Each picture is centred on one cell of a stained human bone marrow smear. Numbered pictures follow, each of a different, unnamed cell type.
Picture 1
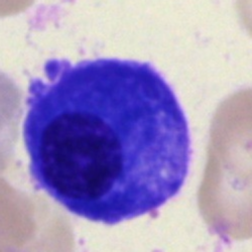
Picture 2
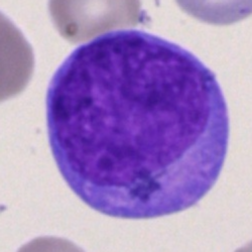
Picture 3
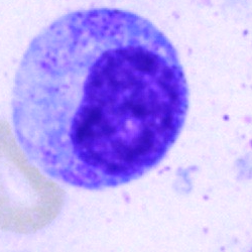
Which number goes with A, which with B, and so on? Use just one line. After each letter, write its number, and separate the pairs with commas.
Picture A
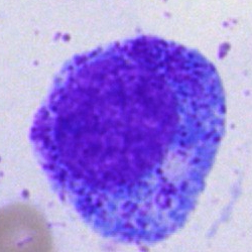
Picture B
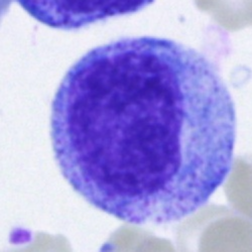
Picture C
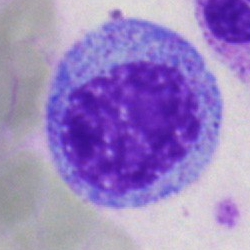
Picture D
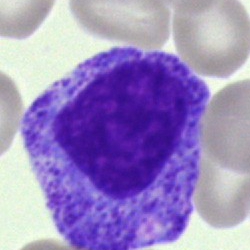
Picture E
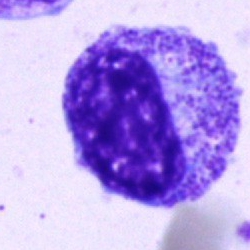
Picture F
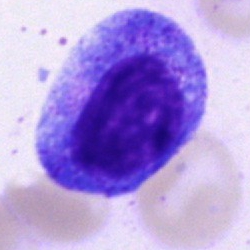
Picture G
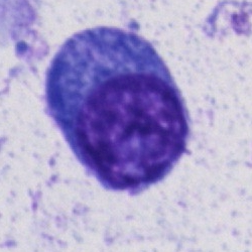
A 3, B 3, C 3, D 3, E 3, F 3, G 1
